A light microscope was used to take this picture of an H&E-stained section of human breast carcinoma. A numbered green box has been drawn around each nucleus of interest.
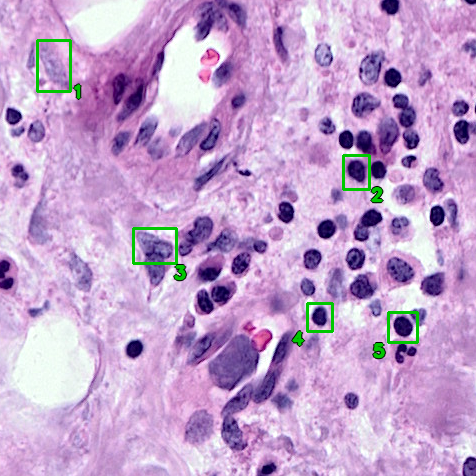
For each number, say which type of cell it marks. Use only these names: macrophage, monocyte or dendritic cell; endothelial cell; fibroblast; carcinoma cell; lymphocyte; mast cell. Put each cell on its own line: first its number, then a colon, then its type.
1: fibroblast
2: lymphocyte
3: fibroblast
4: lymphocyte
5: lymphocyte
